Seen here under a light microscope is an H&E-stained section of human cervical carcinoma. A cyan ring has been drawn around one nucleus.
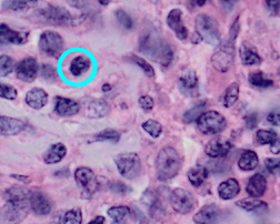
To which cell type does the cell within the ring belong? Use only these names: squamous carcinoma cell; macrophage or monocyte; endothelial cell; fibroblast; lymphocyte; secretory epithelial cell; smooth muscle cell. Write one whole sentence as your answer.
Microscopically, the cell within the ring is categorized as a lymphocyte.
